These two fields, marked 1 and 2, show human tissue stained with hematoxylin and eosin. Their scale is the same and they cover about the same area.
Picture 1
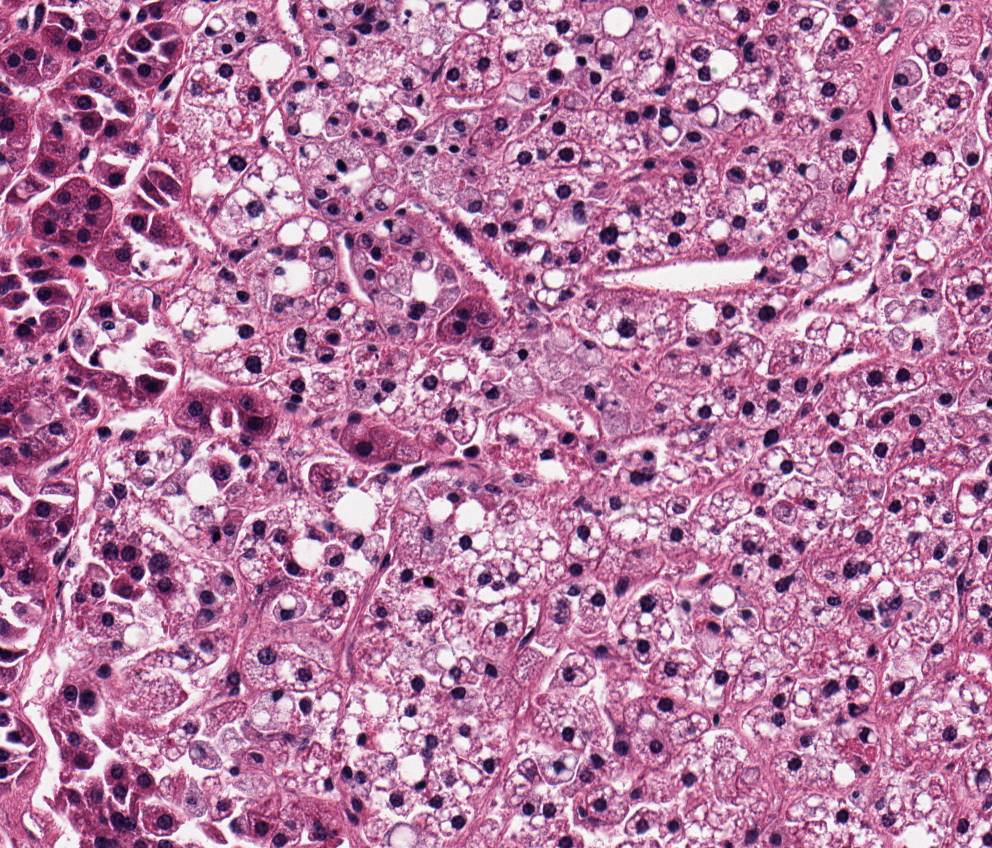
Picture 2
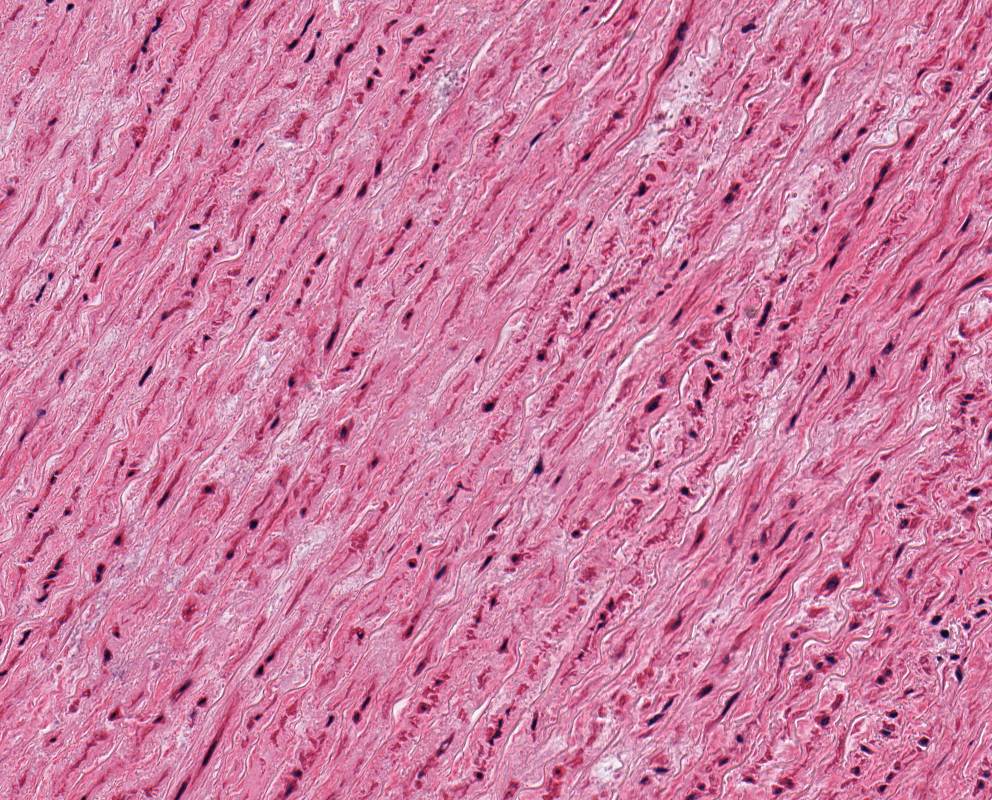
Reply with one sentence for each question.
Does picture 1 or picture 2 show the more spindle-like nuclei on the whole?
On the whole the nuclei of picture 2 are more drawn out than those of picture 1.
